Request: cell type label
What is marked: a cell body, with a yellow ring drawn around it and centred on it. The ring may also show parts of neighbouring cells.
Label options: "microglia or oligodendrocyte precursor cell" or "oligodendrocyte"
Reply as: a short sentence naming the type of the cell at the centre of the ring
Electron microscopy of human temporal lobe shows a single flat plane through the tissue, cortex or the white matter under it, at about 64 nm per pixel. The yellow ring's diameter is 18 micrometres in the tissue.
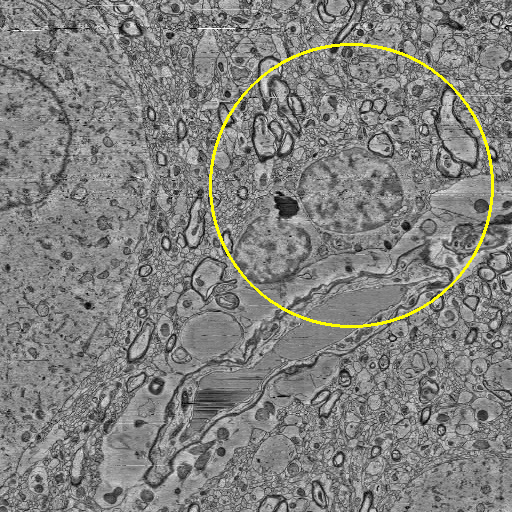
The marked cell body is that of an oligodendrocyte.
